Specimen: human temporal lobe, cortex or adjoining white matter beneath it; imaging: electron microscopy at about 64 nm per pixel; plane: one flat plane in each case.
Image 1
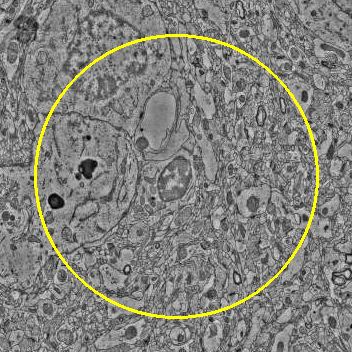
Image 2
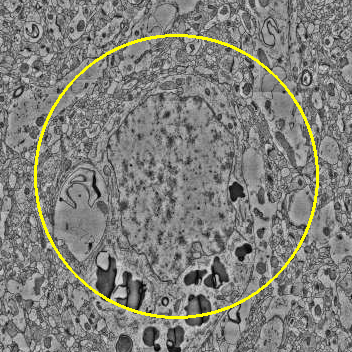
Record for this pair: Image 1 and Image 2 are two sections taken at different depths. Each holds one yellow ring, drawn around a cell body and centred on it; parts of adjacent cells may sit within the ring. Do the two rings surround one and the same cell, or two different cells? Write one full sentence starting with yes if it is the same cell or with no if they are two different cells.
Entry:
No, the rings identify two cells, not one shared cell.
